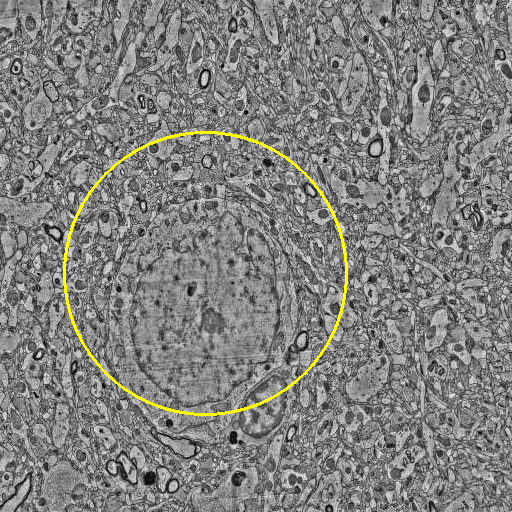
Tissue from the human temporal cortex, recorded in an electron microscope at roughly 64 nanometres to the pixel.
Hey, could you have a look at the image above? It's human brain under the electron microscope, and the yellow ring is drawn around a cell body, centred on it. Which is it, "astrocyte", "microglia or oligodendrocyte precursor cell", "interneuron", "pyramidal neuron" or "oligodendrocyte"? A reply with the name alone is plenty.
interneuron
